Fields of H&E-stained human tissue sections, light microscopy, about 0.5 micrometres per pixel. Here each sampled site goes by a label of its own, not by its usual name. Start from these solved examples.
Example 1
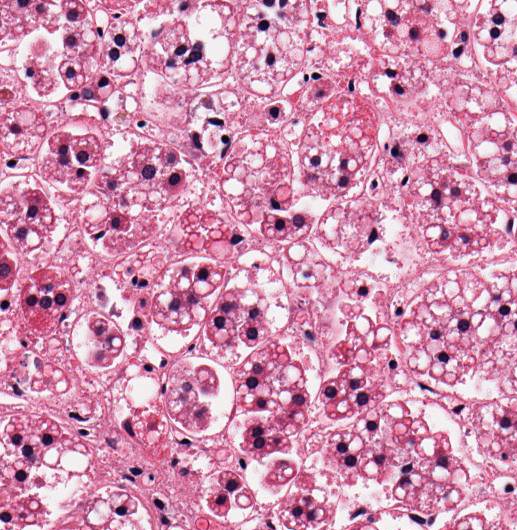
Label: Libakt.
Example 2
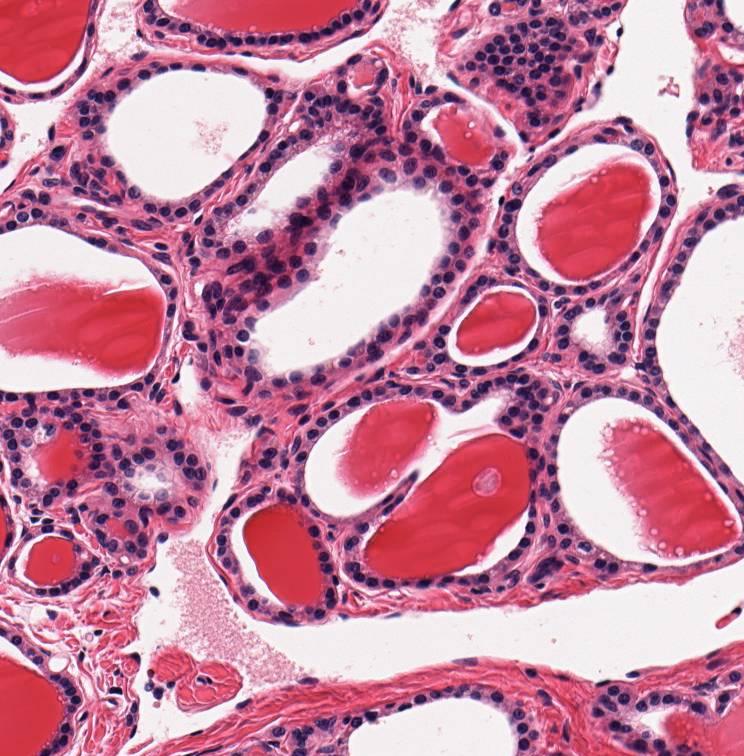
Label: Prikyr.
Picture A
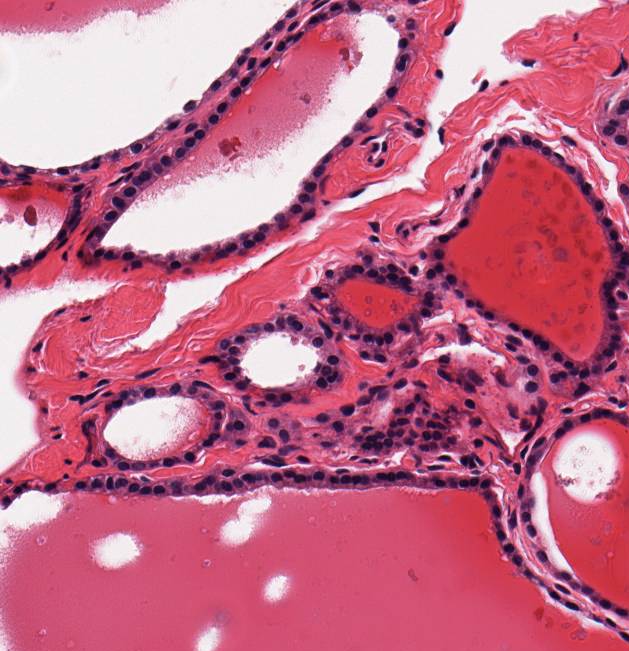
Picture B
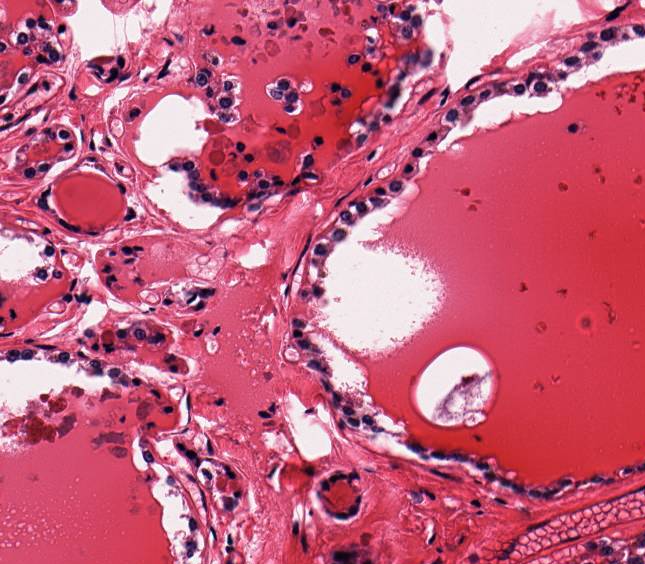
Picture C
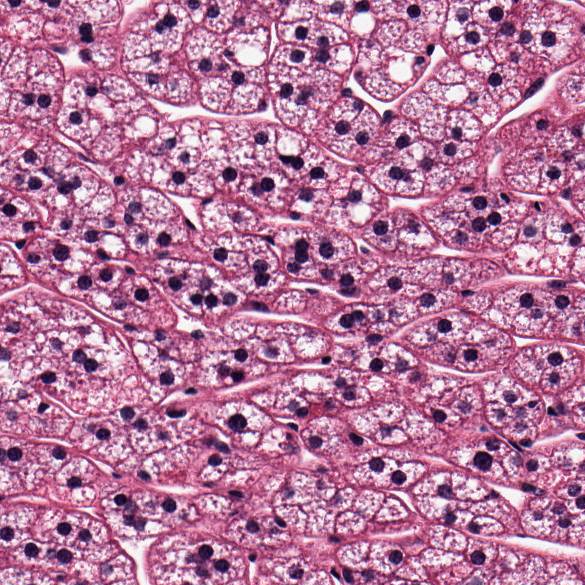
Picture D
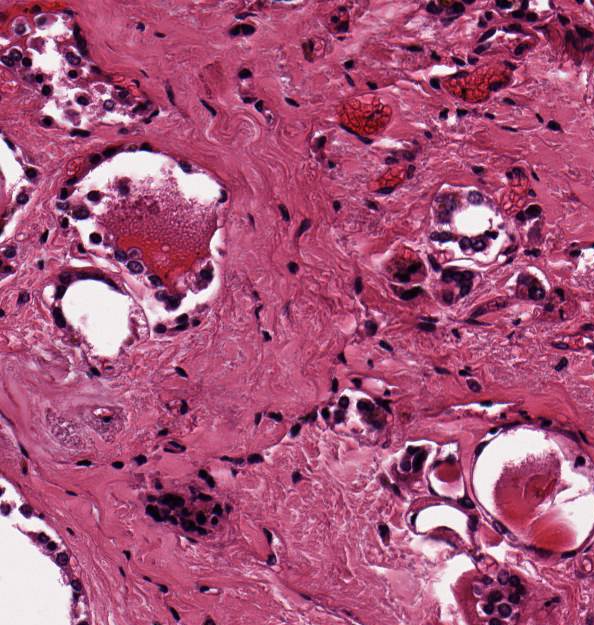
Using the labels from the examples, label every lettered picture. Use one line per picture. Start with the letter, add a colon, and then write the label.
A: Prikyr.
B: Prikyr.
C: Libakt.
D: Prikyr.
